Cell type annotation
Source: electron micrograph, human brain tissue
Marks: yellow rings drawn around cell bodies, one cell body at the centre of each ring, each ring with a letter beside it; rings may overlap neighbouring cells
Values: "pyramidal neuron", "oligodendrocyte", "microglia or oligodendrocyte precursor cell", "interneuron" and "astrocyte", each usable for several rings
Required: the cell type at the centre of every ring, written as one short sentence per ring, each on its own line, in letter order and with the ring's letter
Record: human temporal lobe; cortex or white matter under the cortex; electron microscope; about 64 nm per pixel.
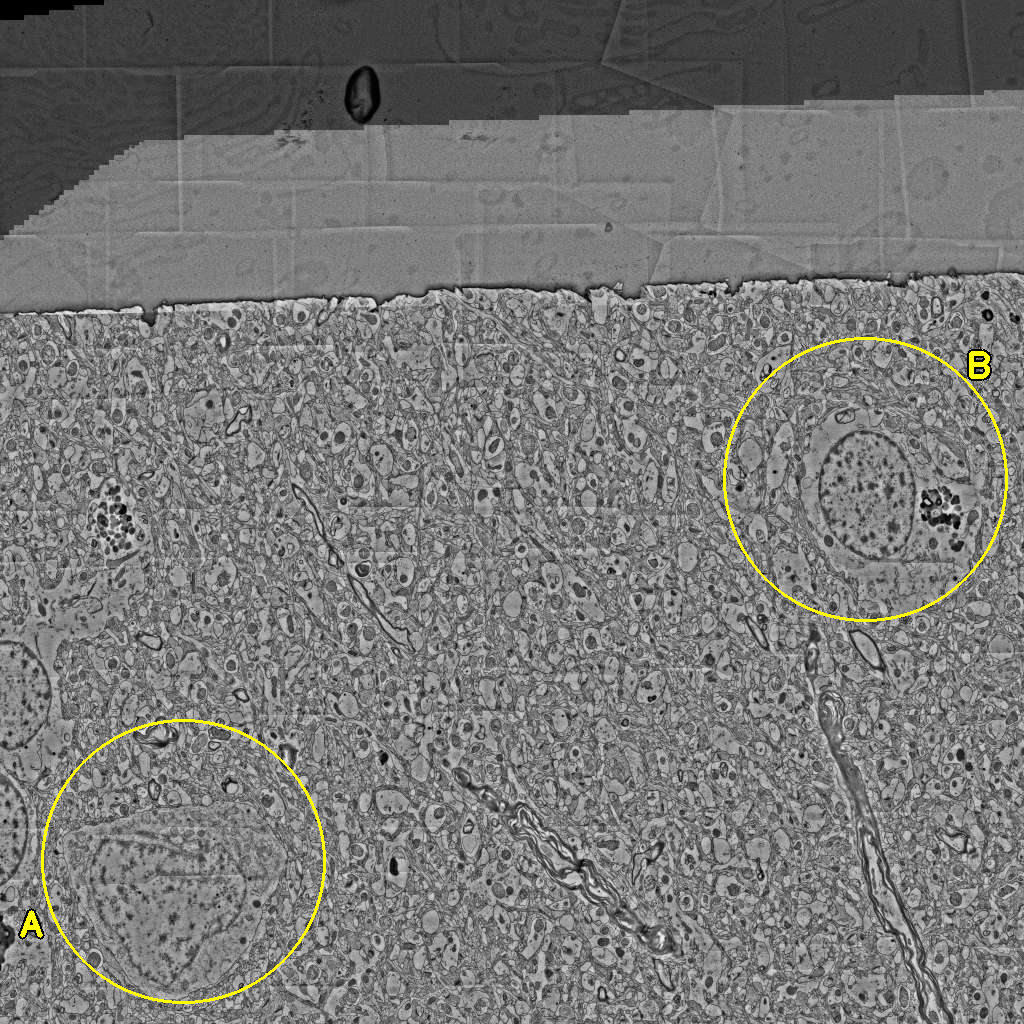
Ring A is annotated as an interneuron.
Ring B is annotated as an astrocyte.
